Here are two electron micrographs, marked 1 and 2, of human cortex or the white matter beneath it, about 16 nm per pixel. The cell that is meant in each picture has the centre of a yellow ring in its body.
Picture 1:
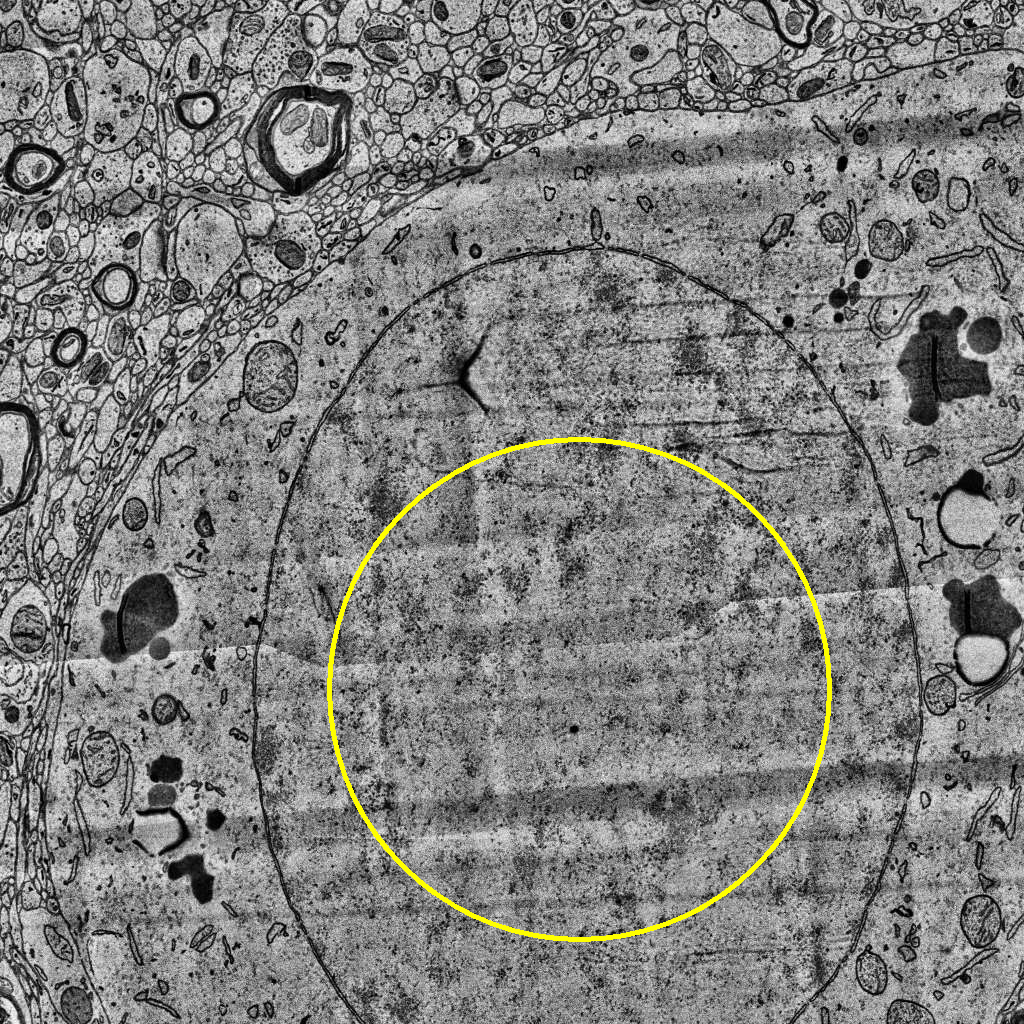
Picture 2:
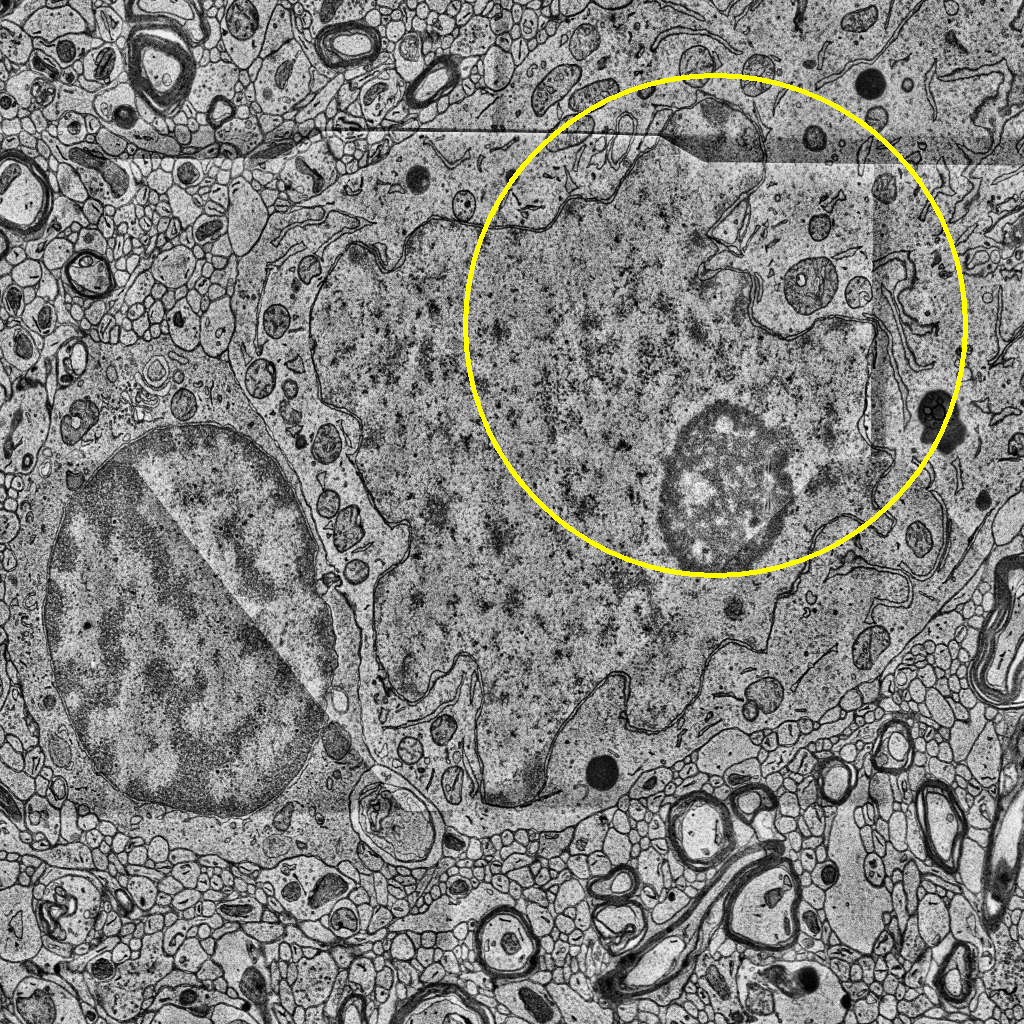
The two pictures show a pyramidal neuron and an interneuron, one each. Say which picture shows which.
It is picture 1 that shows a pyramidal neuron, and picture 2 that shows an interneuron.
